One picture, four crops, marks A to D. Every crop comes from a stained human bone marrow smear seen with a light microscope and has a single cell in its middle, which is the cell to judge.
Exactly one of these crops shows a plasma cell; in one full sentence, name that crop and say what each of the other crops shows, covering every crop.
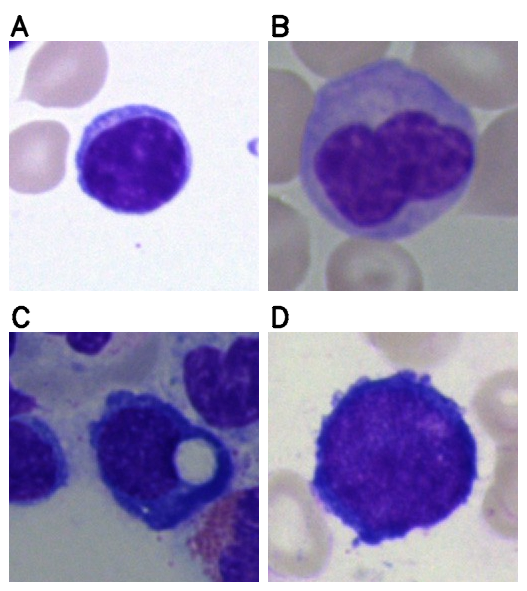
The cell shown in crop C is a plasma cell, whereas crop A is a lymphocyte, crop B is a monocyte and crop D is a proerythroblast.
